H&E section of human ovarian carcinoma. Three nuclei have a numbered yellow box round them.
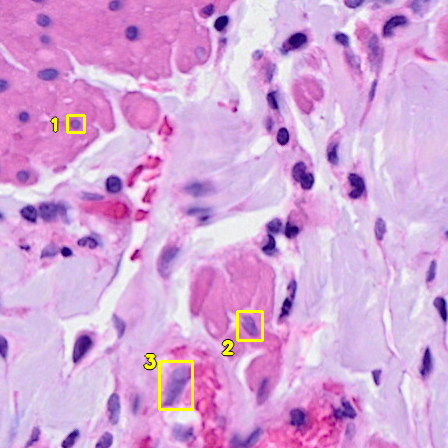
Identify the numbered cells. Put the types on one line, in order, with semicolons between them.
smooth muscle cell; smooth muscle cell; endothelial cell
